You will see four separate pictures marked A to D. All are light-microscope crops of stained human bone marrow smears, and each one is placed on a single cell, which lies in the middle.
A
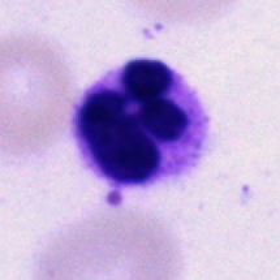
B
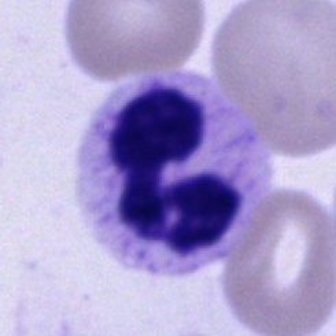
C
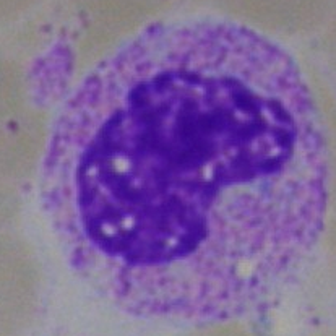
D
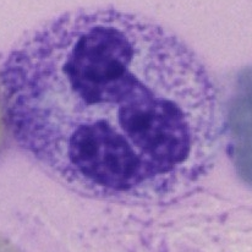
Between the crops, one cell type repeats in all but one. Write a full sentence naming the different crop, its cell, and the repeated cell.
The remaining crops are all segmented neutrophils, so crop C, being a band neutrophil, is the exception.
